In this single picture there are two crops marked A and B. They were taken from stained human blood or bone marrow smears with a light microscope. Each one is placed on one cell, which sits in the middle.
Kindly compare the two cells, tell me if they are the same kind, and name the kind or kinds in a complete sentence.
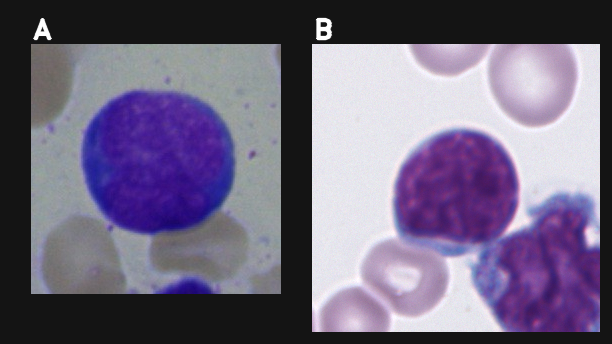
Yes, both crops show blasts as their central cells.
